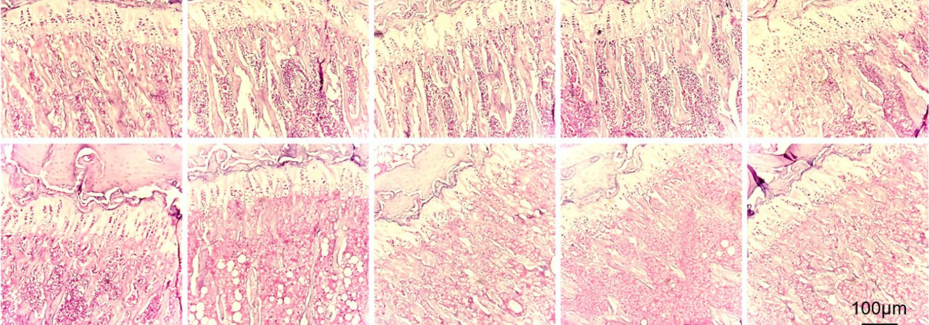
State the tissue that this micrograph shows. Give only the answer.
bone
